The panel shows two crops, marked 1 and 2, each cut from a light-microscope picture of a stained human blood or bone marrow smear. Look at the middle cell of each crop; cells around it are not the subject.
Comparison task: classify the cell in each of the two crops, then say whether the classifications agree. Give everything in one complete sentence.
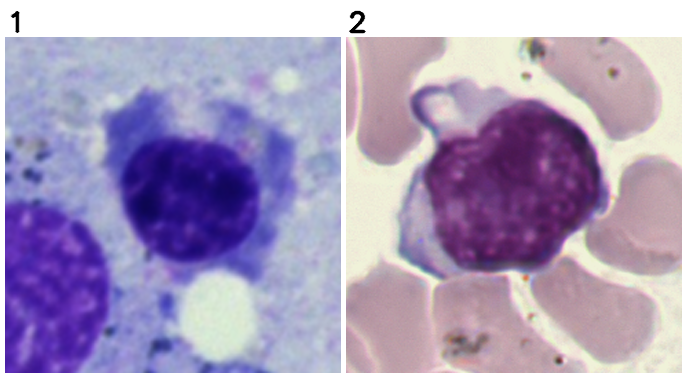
No, an erythroblast is the subject of crop 1, and a plasma cell is the subject of crop 2.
